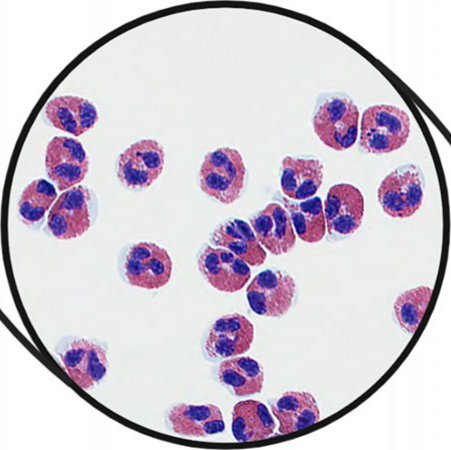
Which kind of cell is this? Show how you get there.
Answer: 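Scattered single round cells on a pale background. Most nuclei are dark purple and have two lobes. The cytoplasm is filled with pink-red granular material. That points to this answer: Eosinophils.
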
